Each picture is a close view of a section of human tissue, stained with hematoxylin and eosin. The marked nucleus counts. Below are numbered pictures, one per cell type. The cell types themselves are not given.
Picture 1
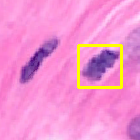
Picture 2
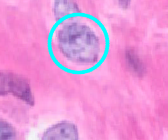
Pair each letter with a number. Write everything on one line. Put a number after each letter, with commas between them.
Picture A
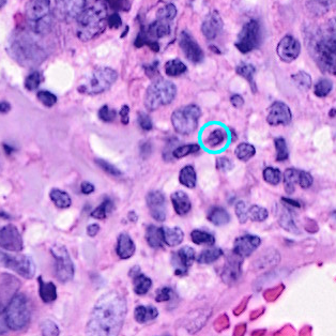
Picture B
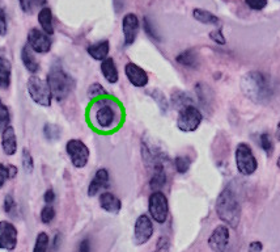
A 1, B 1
